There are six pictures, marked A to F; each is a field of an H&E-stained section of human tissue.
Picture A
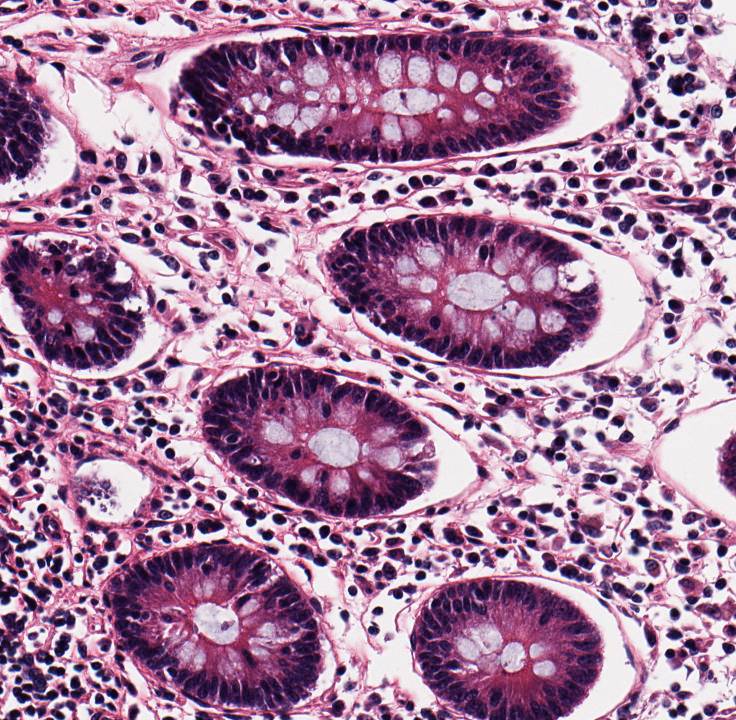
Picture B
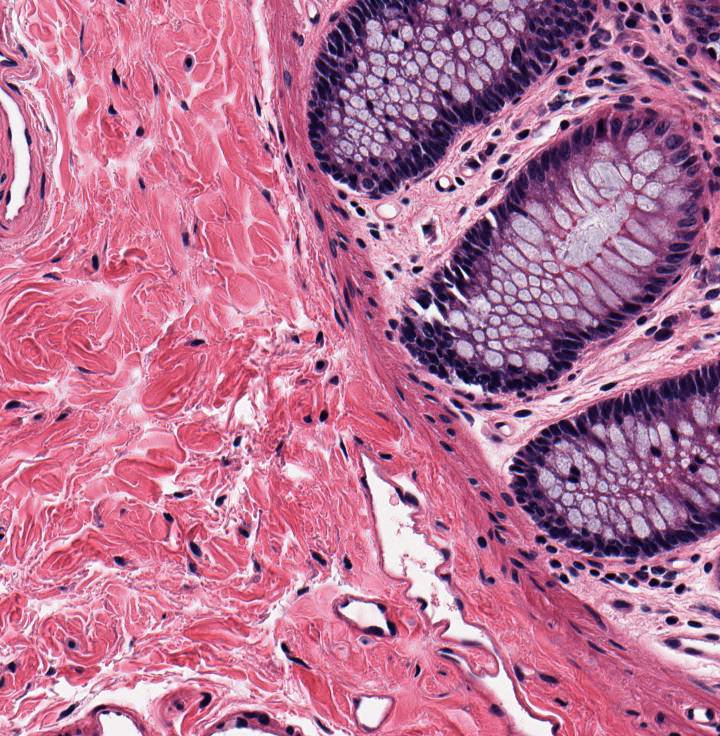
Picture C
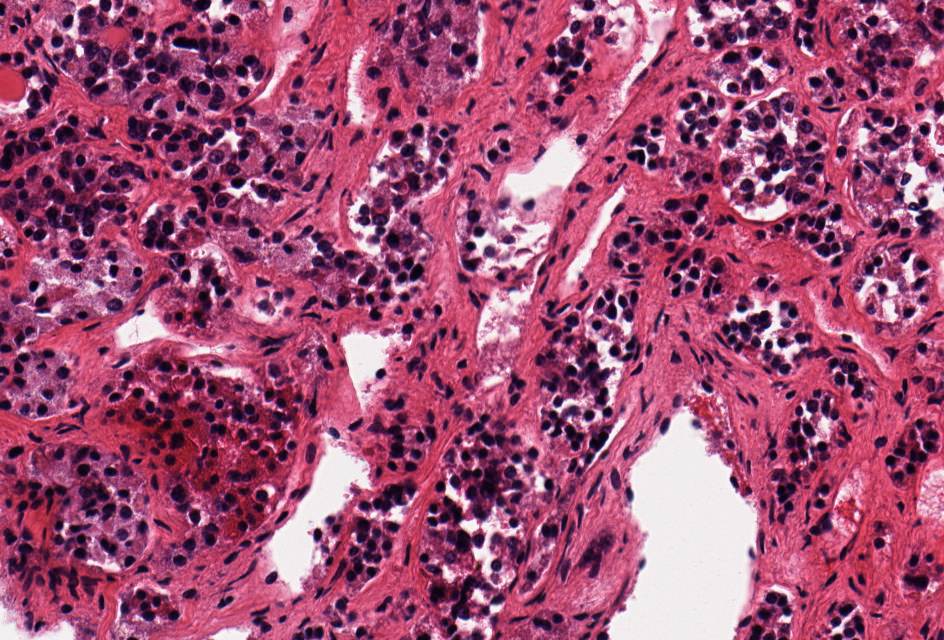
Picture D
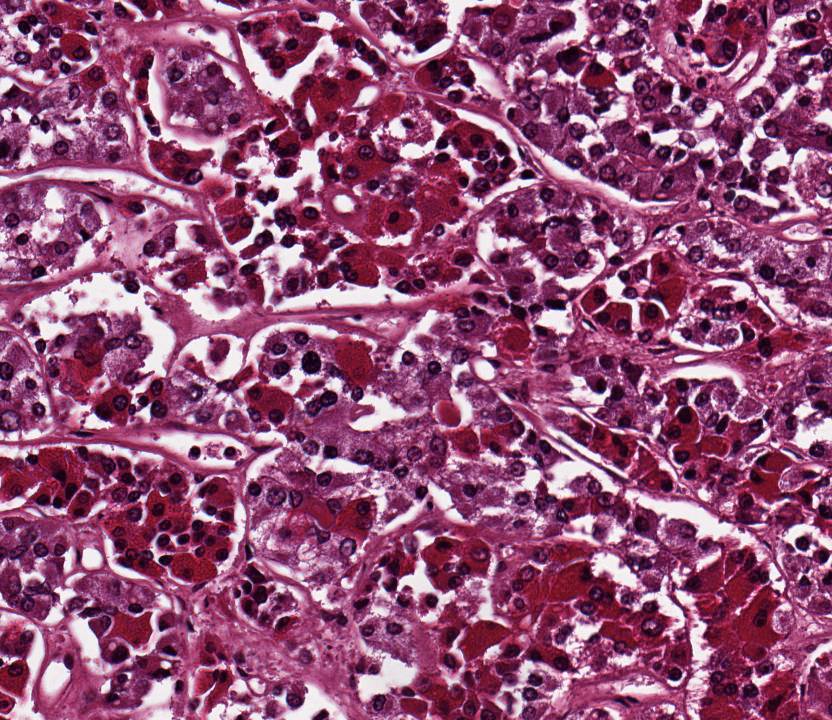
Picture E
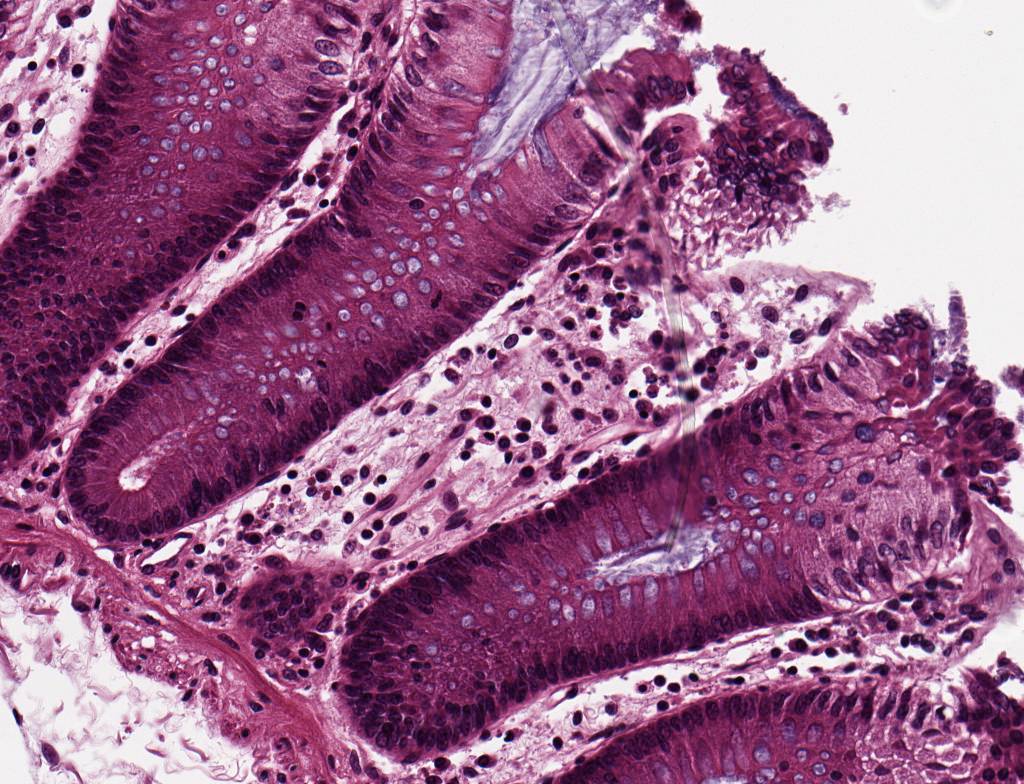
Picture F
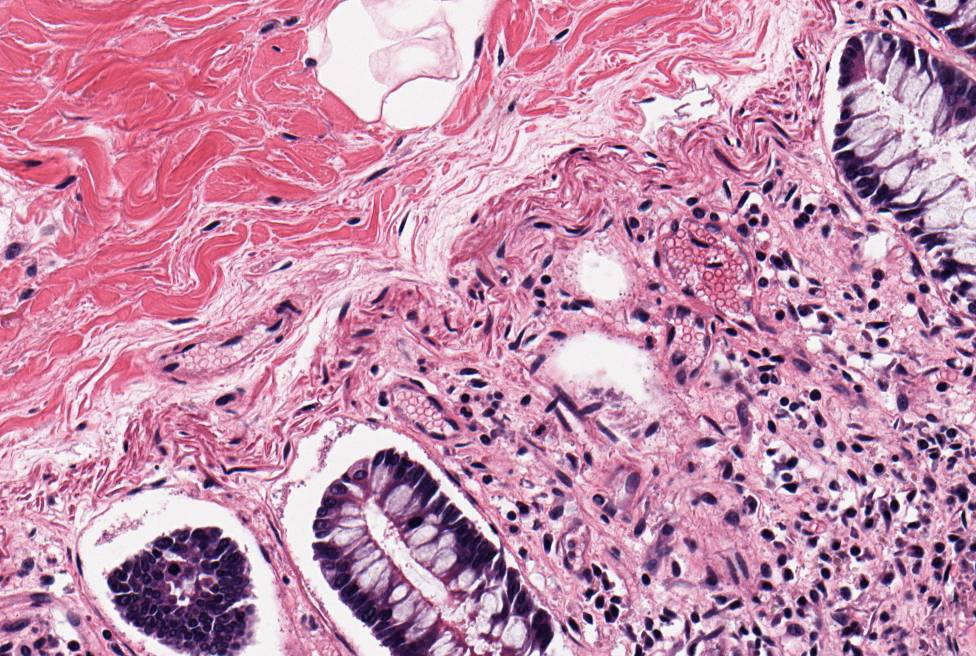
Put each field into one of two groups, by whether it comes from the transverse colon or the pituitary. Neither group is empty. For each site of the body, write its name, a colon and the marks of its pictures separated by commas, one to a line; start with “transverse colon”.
transverse colon: A, B, E, F
pituitary: C, D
